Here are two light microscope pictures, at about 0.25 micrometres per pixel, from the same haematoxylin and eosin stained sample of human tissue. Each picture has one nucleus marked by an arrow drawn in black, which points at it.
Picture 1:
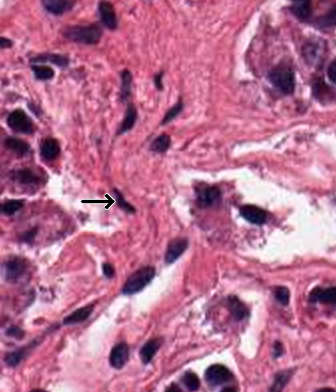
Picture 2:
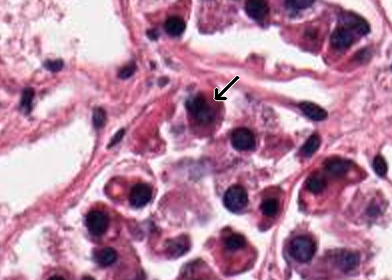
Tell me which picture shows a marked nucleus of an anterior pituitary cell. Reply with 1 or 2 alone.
2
